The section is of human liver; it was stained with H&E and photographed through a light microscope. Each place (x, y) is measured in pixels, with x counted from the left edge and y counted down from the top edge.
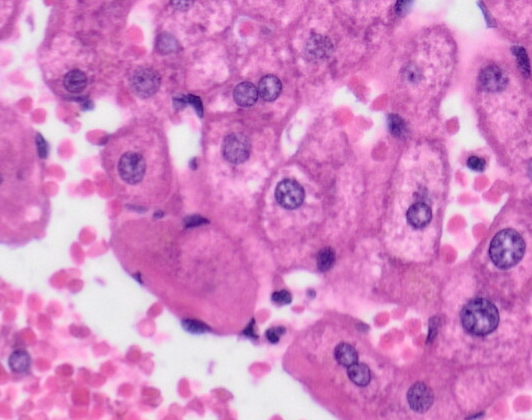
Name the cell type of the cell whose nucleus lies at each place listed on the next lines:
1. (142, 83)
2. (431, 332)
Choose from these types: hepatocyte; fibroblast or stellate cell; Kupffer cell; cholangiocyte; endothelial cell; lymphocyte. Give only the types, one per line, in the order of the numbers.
hepatocyte
endothelial cell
